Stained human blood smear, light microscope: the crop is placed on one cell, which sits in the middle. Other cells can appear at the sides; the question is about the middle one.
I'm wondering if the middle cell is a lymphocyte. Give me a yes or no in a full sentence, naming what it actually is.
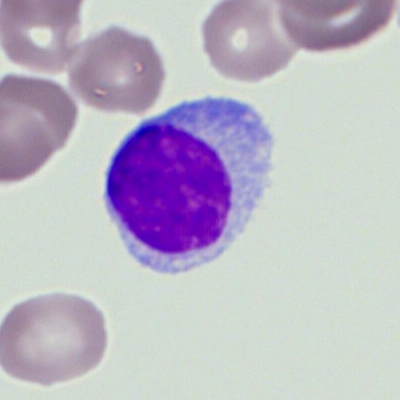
Yes, the cell at the centre is designated a lymphocyte.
